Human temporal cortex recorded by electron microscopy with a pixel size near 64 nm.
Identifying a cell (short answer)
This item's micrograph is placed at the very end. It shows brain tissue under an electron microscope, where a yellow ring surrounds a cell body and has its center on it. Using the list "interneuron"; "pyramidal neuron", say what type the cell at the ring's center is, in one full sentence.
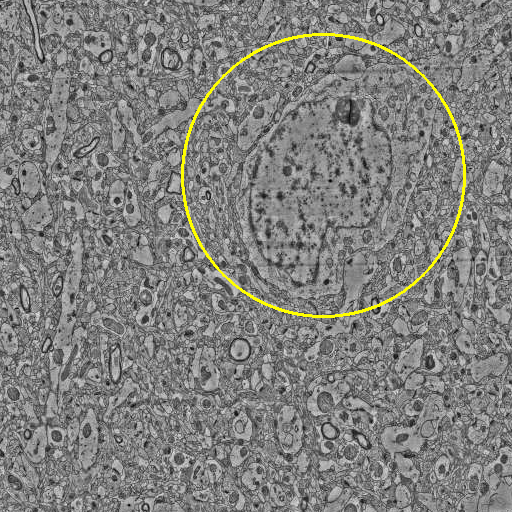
This picture shows an interneuron at the center of the yellow ring drawn on it.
